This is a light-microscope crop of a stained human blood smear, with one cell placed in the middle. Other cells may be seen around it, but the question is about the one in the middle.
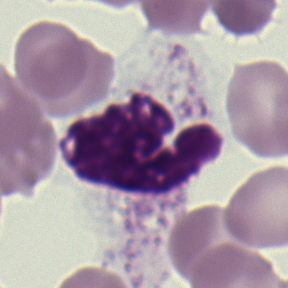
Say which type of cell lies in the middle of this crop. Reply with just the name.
segmented neutrophil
